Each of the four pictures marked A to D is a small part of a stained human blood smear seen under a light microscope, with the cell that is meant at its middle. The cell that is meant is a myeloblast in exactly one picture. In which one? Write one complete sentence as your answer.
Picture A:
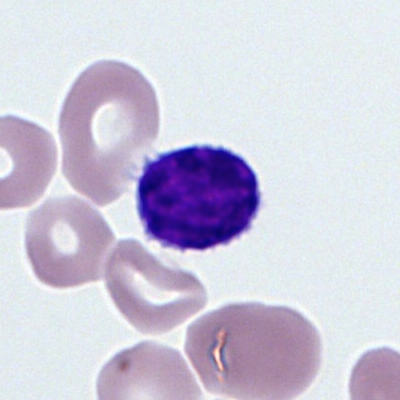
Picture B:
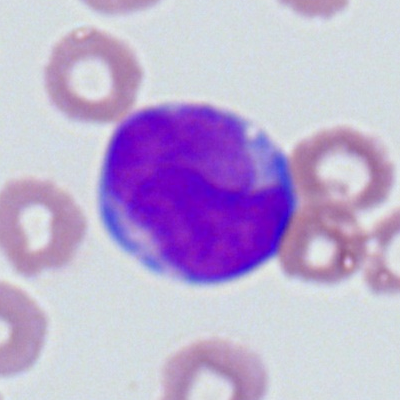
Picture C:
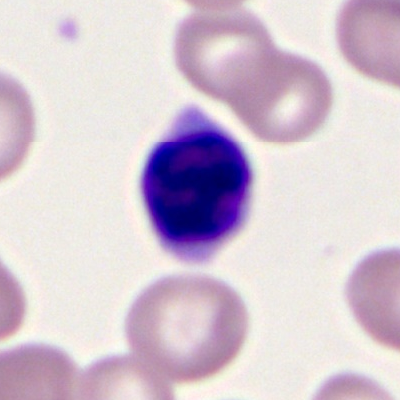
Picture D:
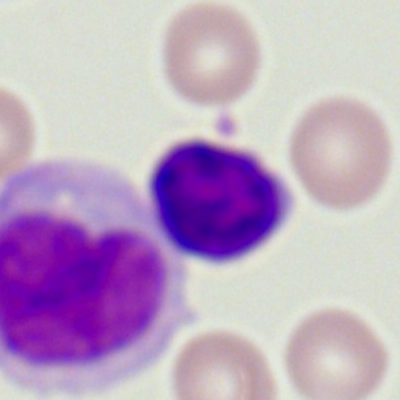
It is picture B that shows the myeloblast.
